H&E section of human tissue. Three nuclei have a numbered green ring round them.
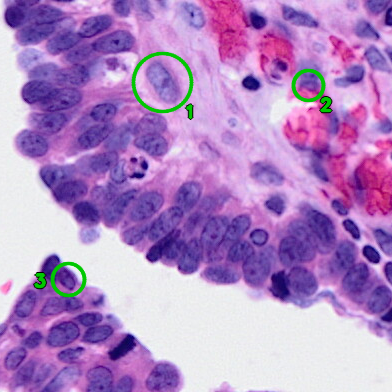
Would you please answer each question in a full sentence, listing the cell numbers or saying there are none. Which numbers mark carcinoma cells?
Only one marked cell, number 3, is a carcinoma cell.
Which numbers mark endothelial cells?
Only one marked cell, number 2, is an endothelial cell.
